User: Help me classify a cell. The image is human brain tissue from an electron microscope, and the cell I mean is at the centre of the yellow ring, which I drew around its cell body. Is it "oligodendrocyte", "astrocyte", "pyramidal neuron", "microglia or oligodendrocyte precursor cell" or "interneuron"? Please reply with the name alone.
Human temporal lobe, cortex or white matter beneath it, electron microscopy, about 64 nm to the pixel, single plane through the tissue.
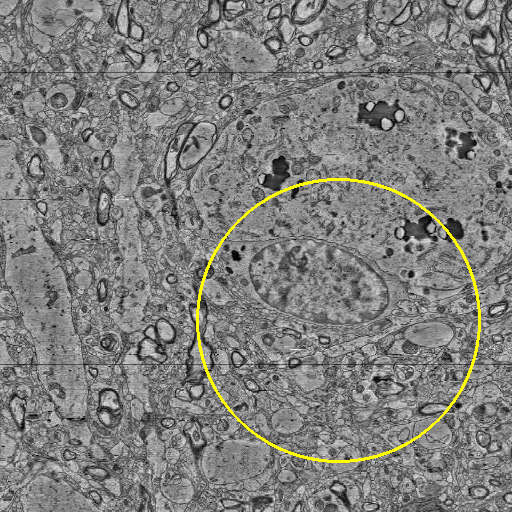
oligodendrocyte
